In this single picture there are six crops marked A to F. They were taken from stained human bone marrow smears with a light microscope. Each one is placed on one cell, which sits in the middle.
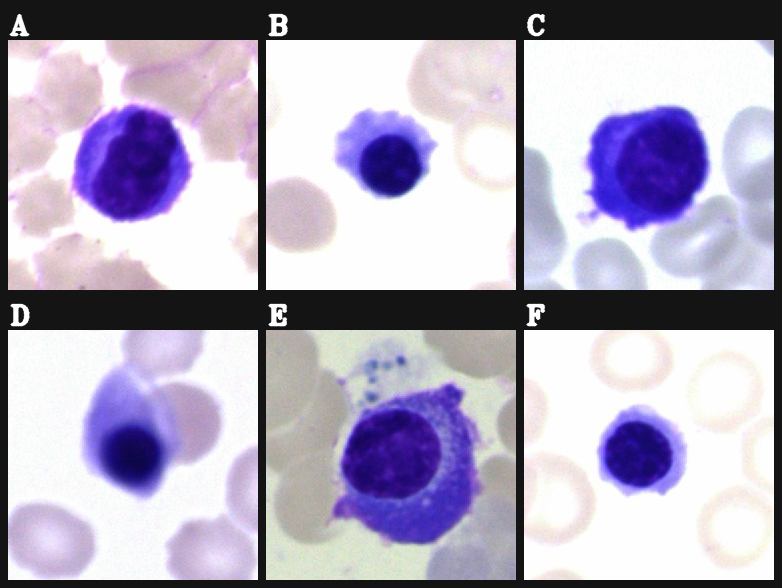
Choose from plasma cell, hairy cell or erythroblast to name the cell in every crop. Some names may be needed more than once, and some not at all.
A: plasma cell
B: erythroblast
C: plasma cell
D: erythroblast
E: plasma cell
F: erythroblast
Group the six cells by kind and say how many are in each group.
plasma cell: 3
erythroblast: 3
